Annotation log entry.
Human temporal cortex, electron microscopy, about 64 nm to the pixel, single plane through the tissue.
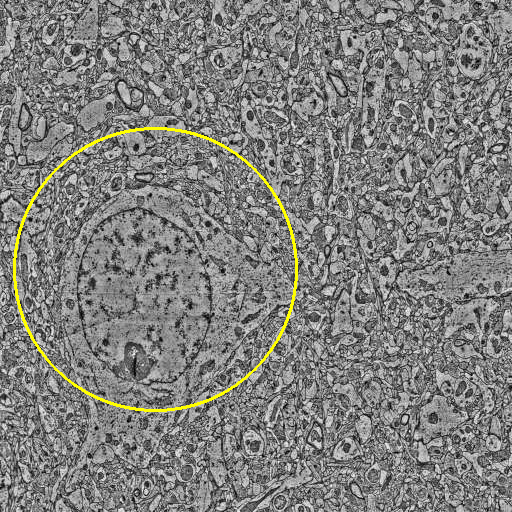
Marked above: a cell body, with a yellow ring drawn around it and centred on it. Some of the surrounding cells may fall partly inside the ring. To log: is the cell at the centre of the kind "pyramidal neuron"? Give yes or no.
Yes, the cell at the centre is of that kind.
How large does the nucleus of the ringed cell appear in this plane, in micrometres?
In this plane, about 11 micrometres in length and 9 in width.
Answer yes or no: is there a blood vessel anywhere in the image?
No, no blood vessel shows in the picture.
